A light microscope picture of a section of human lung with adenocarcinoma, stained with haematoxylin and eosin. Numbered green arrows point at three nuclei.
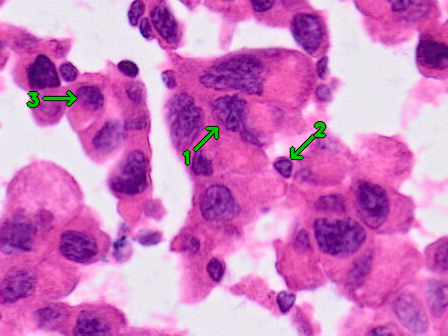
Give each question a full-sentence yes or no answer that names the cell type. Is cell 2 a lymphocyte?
Yes, cell 2 is a lymphocyte in this tissue section.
